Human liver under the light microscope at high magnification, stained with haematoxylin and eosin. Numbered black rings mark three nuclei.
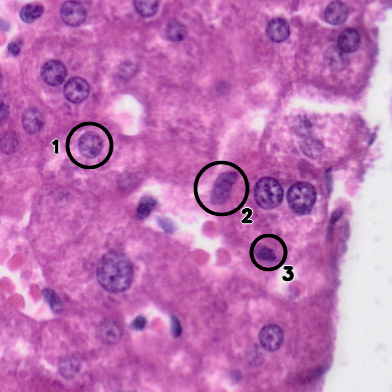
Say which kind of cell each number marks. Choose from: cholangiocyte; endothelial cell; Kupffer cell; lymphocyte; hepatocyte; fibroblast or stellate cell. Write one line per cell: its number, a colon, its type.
1: hepatocyte
2: Kupffer cell
3: fibroblast or stellate cell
